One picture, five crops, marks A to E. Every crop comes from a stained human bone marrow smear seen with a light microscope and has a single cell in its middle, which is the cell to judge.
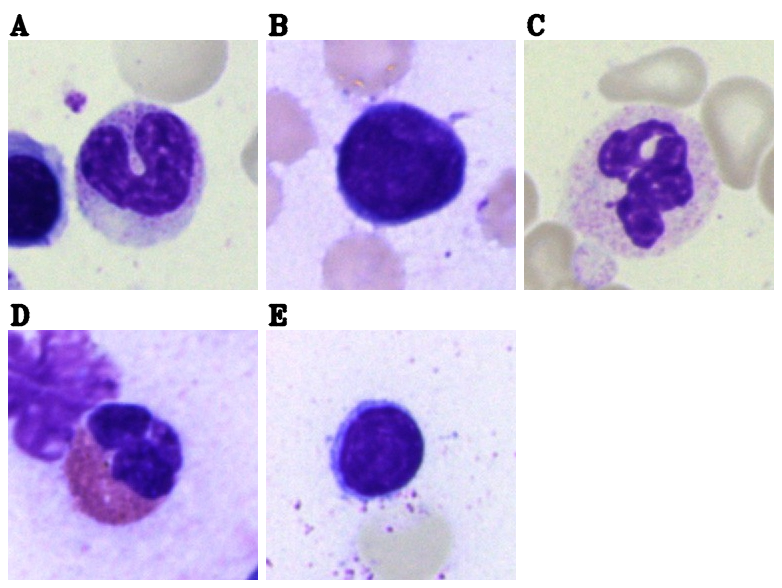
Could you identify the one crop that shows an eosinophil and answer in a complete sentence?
Crop D, and no other, is the one that shows an eosinophil.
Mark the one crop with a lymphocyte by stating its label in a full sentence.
That would be crop E; it shows a lymphocyte.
